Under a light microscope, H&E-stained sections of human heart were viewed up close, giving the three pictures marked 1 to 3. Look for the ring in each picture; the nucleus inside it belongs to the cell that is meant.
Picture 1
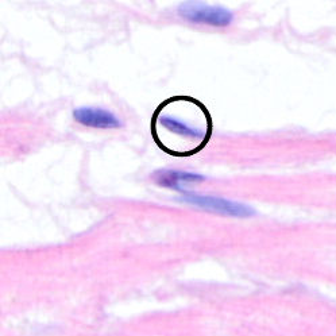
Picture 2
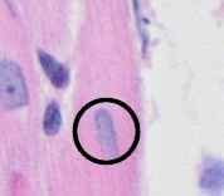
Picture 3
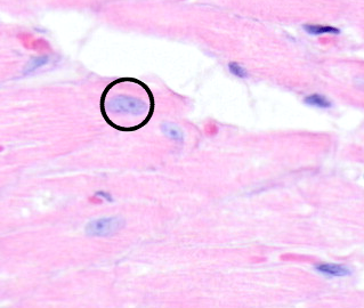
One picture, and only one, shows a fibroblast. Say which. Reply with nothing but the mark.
1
